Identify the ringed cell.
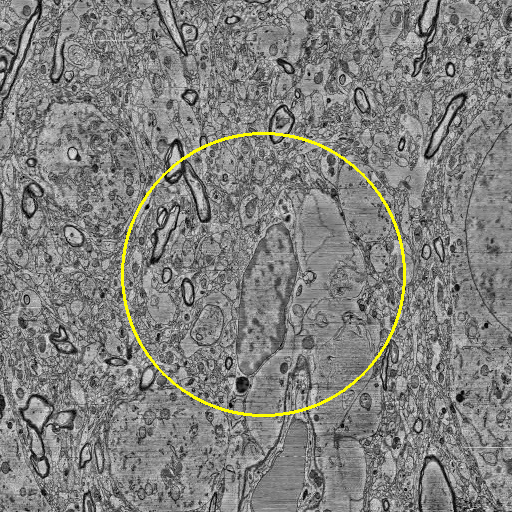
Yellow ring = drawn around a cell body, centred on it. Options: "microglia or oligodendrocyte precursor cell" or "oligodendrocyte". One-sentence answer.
What the ring is centred on is a microglial cell or oligodendrocyte precursor cell.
